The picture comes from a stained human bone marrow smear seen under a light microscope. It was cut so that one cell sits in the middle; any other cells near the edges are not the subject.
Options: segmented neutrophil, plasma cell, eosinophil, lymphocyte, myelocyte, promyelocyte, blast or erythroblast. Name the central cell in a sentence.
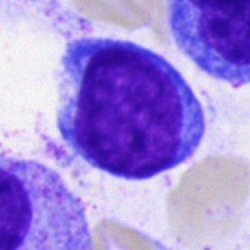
On this slide crop, the central cell is a lymphocyte.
